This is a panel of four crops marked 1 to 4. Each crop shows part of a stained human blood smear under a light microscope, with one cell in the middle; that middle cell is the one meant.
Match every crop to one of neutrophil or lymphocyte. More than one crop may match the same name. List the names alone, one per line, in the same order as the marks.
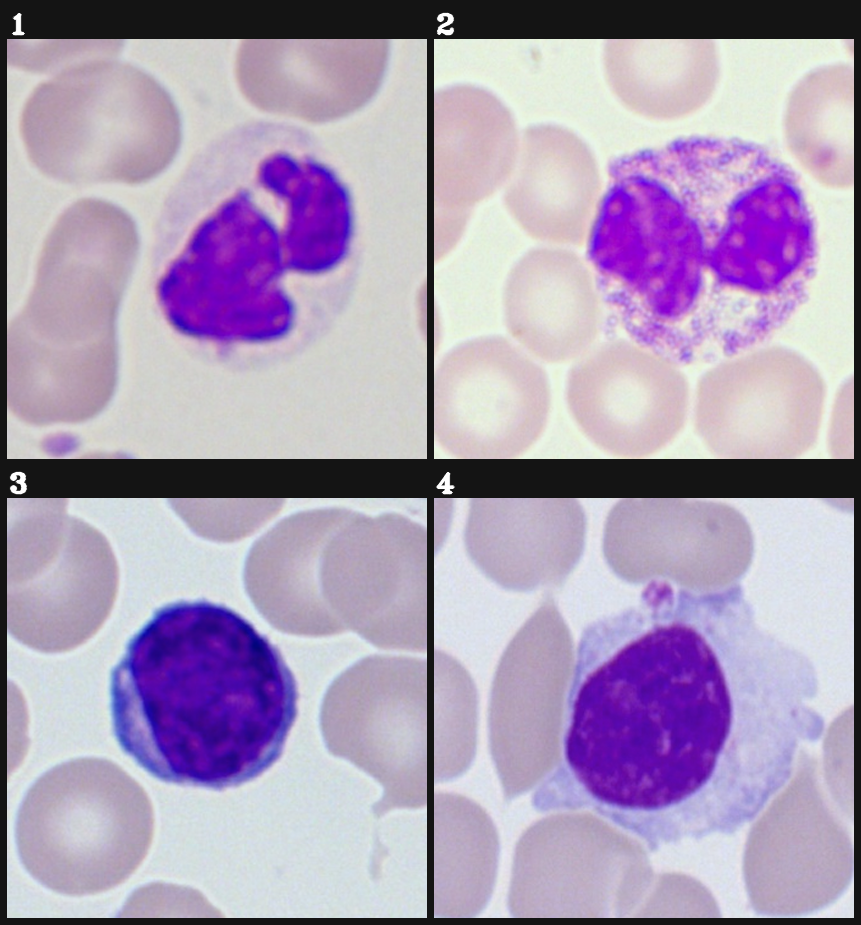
neutrophil
neutrophil
lymphocyte
lymphocyte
